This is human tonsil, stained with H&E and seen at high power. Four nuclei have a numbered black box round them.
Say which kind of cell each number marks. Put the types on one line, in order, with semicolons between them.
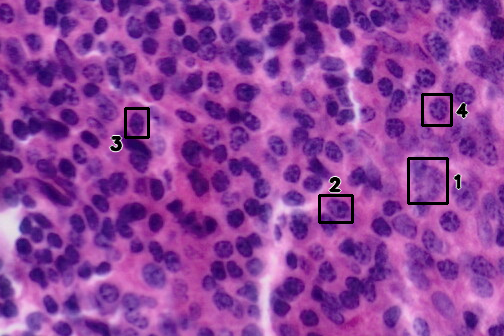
squamous epithelial cell; plasma cell; plasma cell; plasma cell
